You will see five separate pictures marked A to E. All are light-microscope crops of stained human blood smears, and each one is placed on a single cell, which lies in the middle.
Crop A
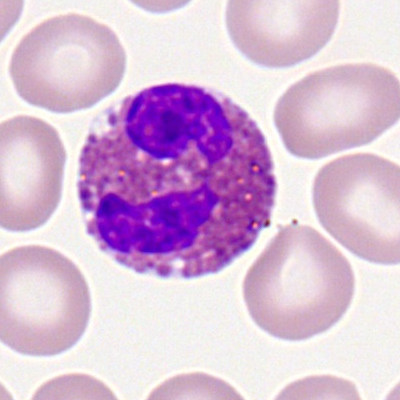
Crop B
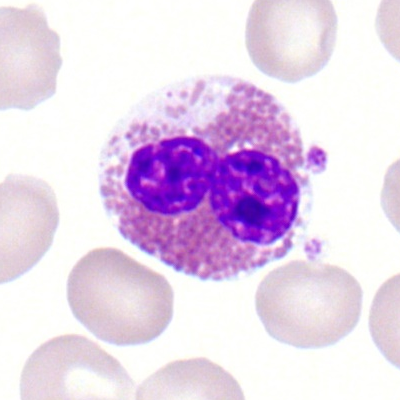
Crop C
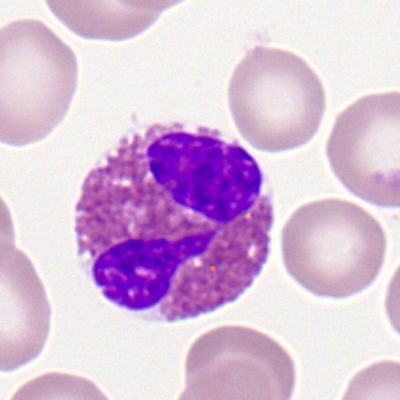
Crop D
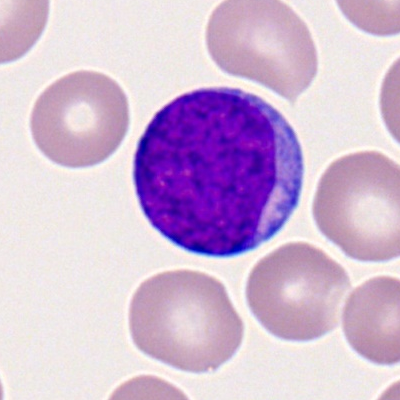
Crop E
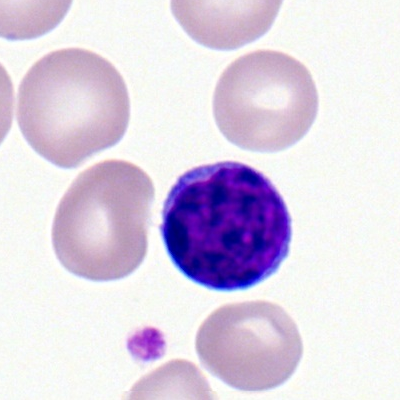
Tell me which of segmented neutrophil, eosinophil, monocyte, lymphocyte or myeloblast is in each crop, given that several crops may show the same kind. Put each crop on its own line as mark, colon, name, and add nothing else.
A: eosinophil
B: eosinophil
C: eosinophil
D: myeloblast
E: lymphocyte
